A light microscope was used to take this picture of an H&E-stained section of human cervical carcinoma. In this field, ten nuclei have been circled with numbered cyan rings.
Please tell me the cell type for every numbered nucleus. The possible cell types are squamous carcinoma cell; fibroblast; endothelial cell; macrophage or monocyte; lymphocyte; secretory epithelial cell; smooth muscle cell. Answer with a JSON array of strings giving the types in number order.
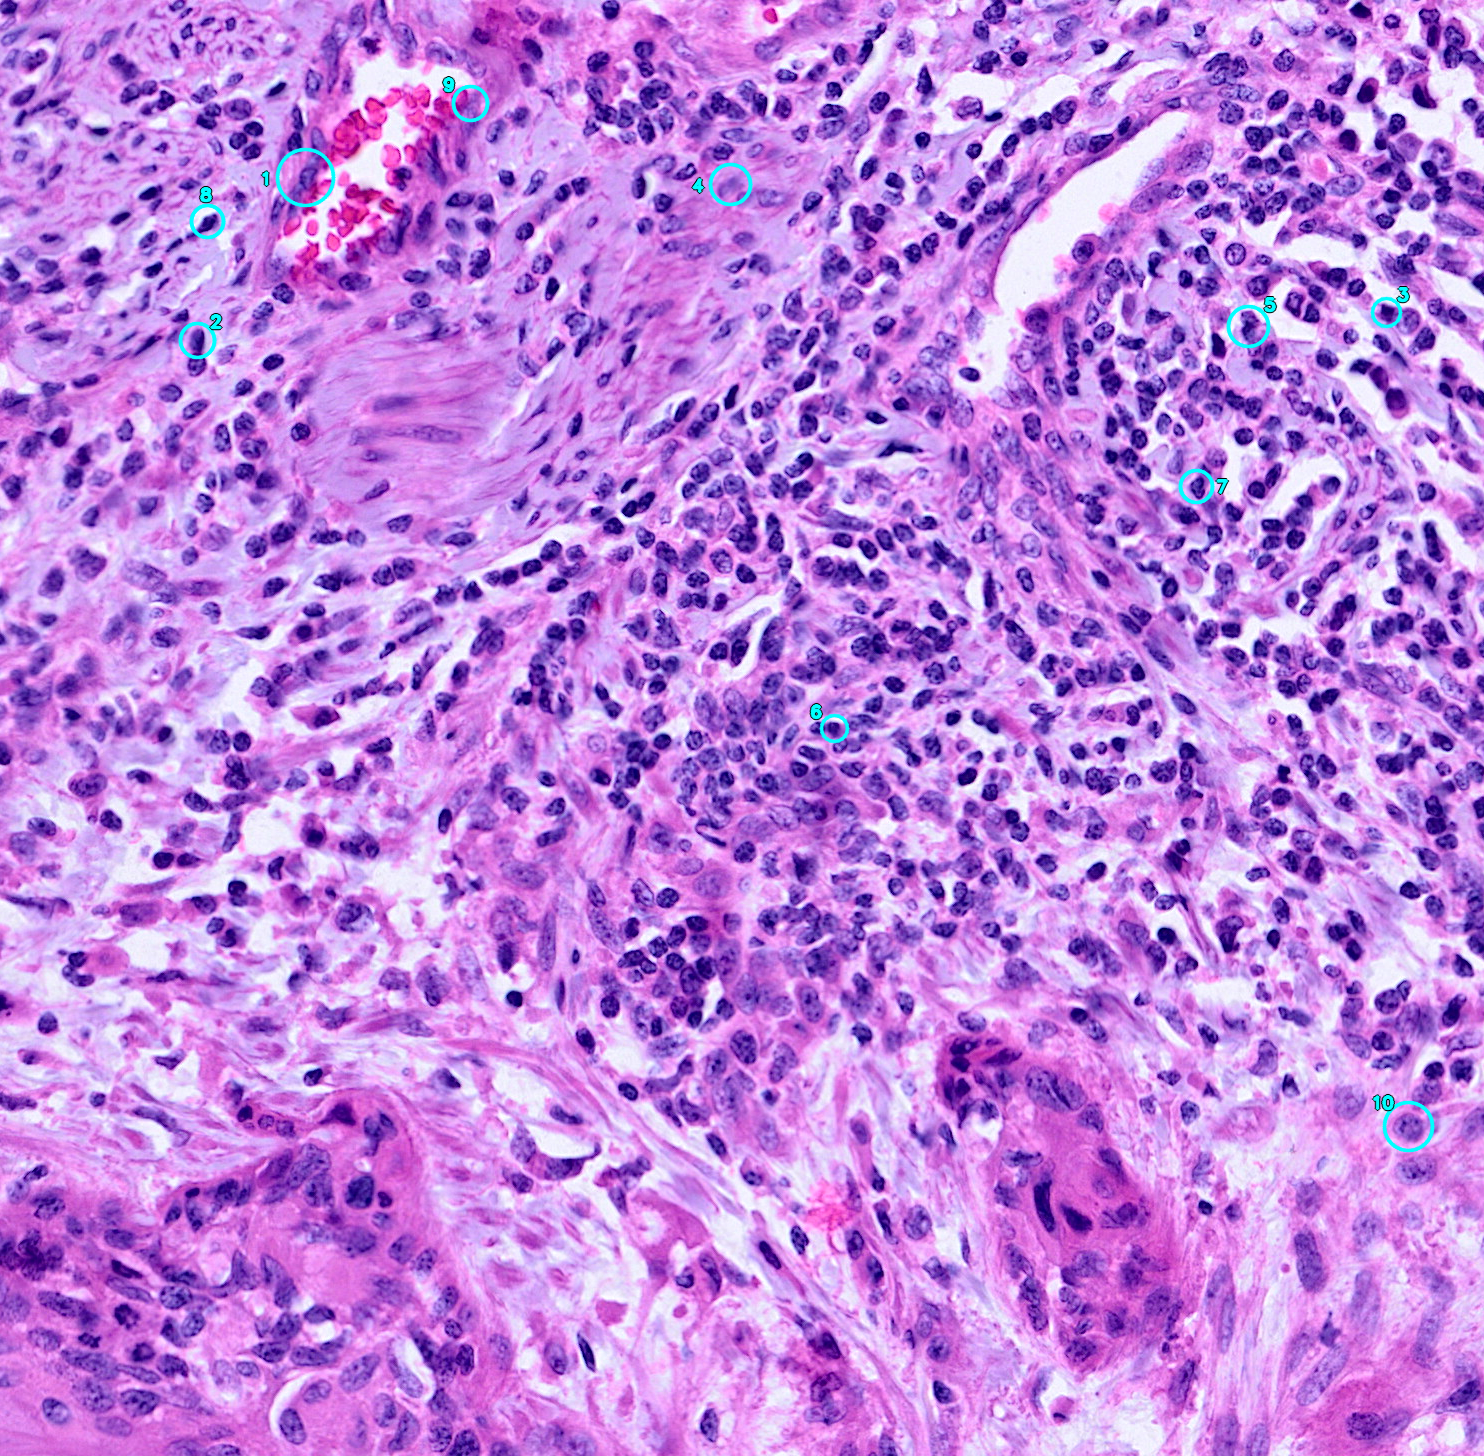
["endothelial cell", "lymphocyte", "lymphocyte", "smooth muscle cell", "lymphocyte", "lymphocyte", "lymphocyte", "lymphocyte", "endothelial cell", "macrophage or monocyte"]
